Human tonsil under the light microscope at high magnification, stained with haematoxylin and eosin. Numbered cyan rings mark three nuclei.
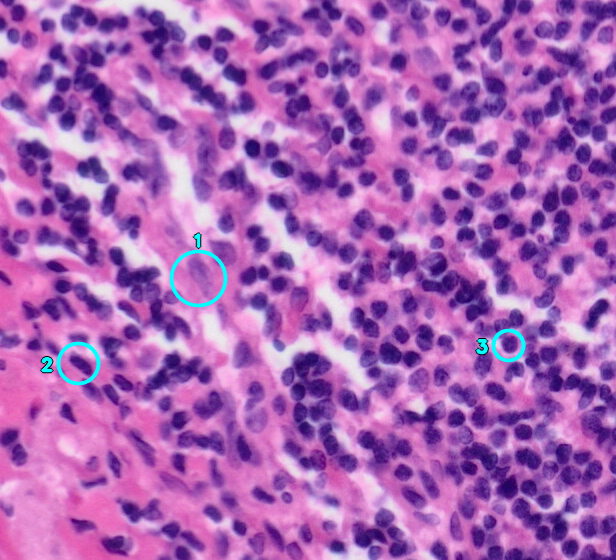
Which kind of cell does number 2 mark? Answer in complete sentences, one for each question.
In this section, the cell tagged 2 is a mast cell.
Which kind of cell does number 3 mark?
The cell referred to as 3 is a small lymphocyte.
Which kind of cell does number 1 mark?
It is as an endothelial cell that the cell numbered 1 is identified.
